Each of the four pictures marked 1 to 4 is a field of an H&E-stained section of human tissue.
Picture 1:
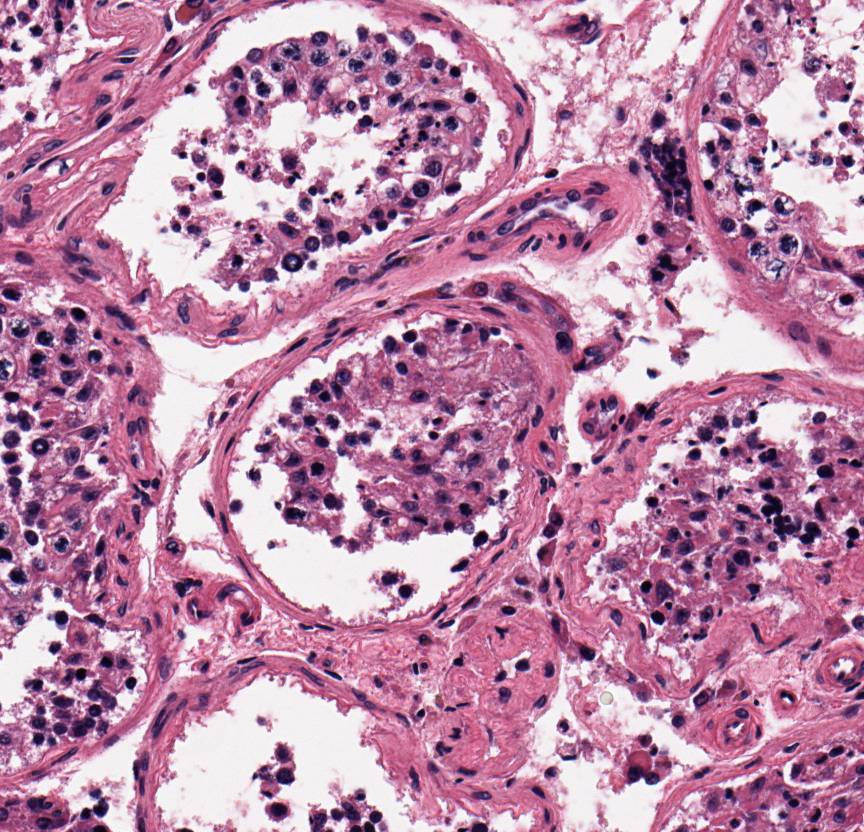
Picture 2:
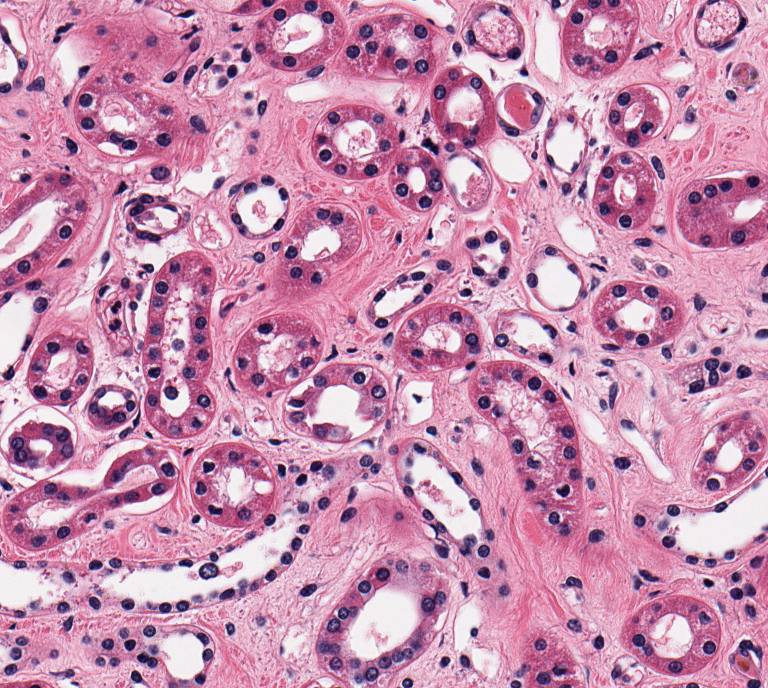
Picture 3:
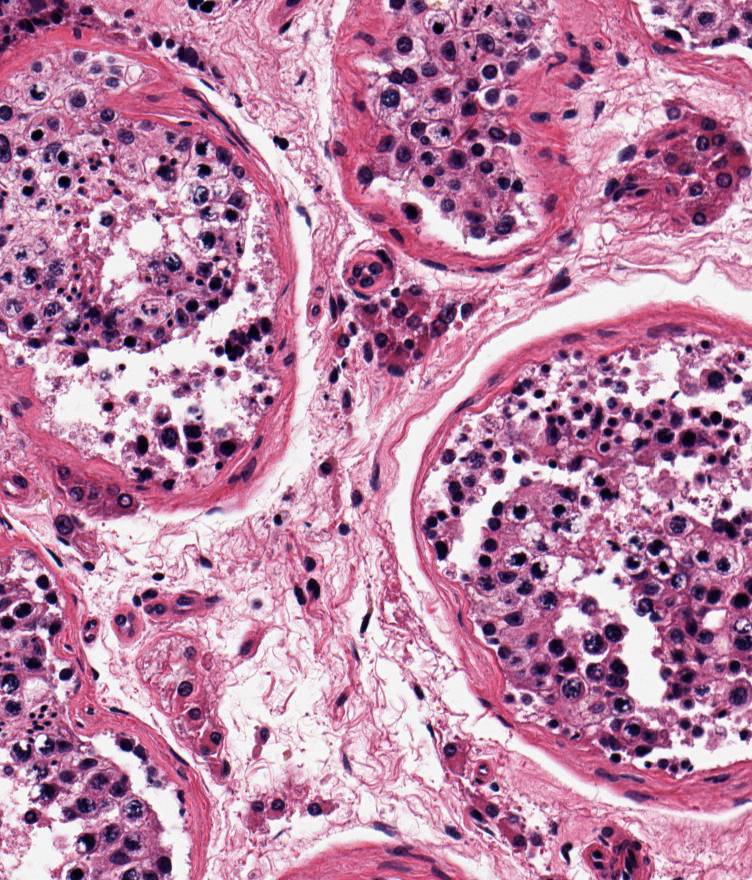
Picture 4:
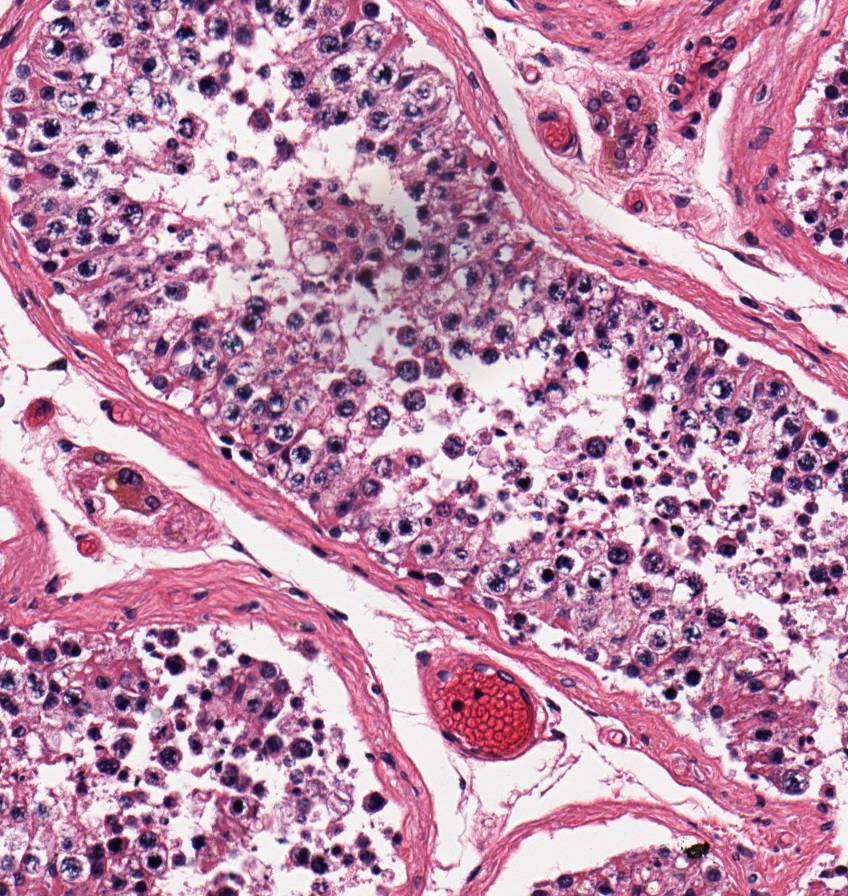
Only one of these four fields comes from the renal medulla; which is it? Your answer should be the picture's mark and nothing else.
2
